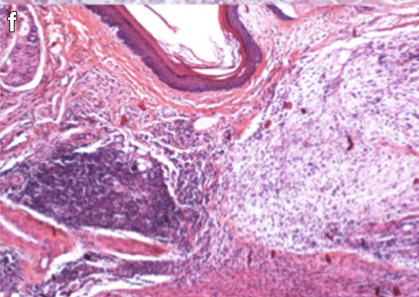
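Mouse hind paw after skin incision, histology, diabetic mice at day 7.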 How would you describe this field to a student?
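A large, densely packed aggregate of small round dark purple nuclei occupies the lower left, bordered by pink bands of collagen and muscle. The epidermis at the top is a thin purple layer with a pink keratin surface folding into a cleft.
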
